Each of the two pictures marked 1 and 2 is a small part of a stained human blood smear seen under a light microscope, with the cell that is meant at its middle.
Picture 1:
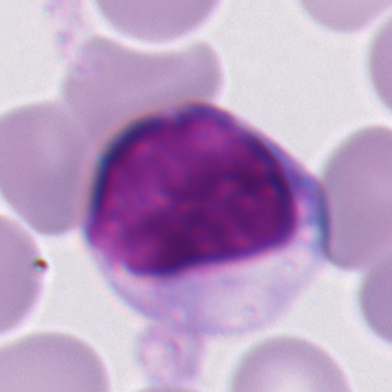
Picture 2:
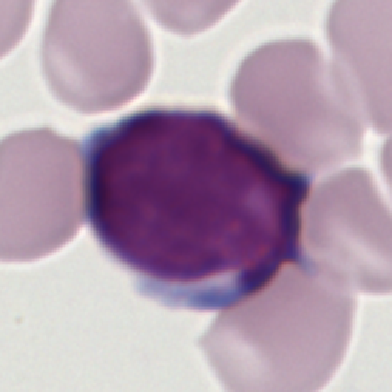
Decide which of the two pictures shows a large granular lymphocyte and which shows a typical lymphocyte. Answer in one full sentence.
Picture 1 shows a large granular lymphocyte and picture 2 shows a typical lymphocyte.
